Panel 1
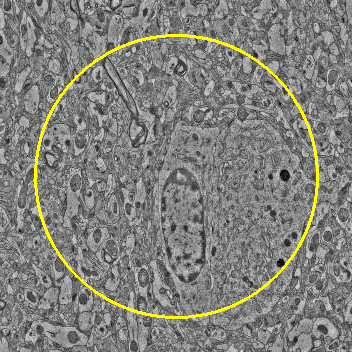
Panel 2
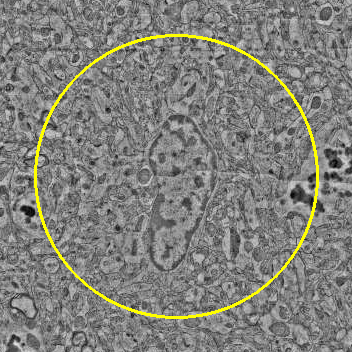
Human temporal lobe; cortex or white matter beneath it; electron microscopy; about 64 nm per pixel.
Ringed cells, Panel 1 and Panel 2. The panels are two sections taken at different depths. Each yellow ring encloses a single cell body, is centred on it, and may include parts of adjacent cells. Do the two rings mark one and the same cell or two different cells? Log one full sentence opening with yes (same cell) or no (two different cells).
No, one ring and the other ring mark two distinct cells.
